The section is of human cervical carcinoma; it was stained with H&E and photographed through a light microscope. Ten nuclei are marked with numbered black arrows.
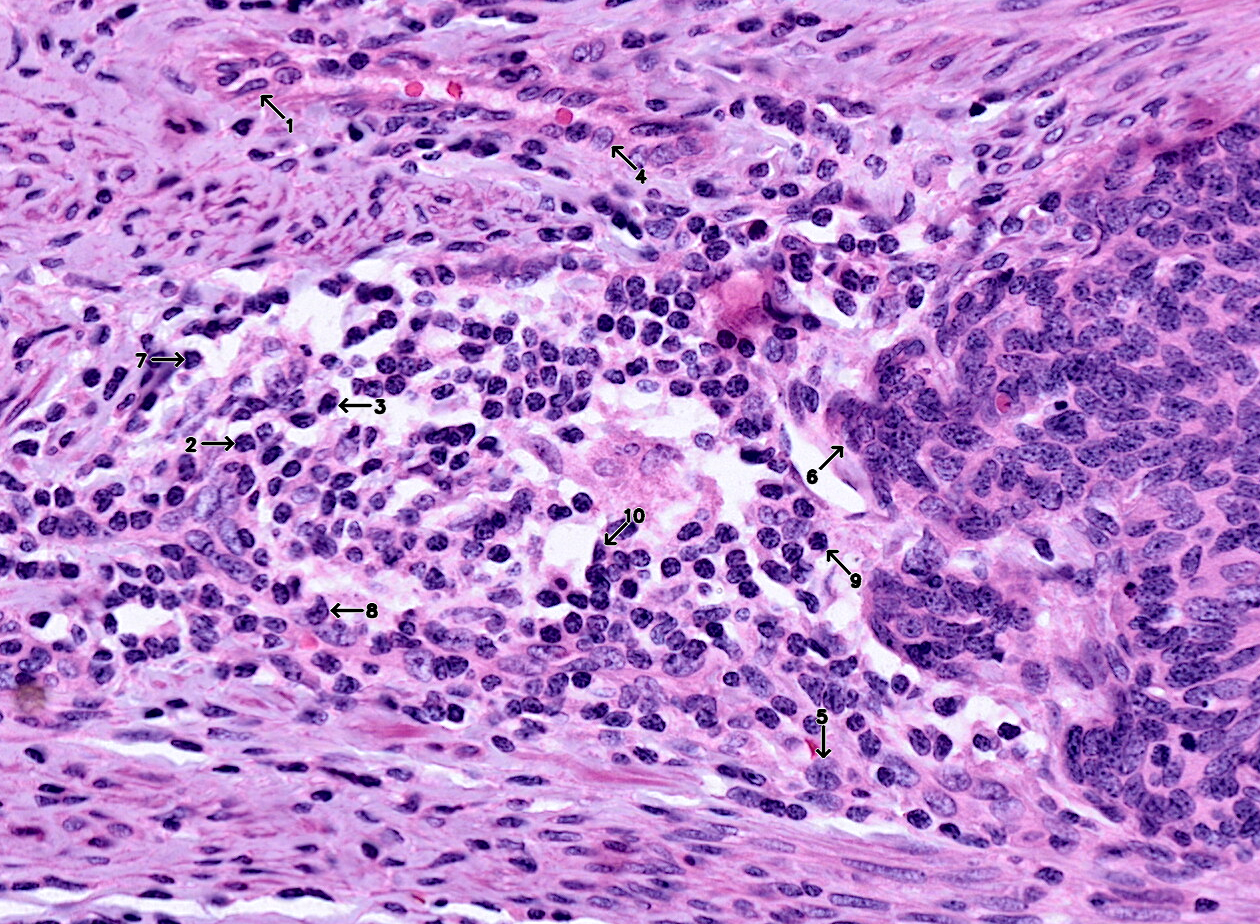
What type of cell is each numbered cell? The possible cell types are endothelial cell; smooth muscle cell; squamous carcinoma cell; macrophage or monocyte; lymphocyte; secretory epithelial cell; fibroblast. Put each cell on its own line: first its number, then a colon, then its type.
1: endothelial cell
2: lymphocyte
3: lymphocyte
4: endothelial cell
5: endothelial cell
6: squamous carcinoma cell
7: lymphocyte
8: lymphocyte
9: lymphocyte
10: lymphocyte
